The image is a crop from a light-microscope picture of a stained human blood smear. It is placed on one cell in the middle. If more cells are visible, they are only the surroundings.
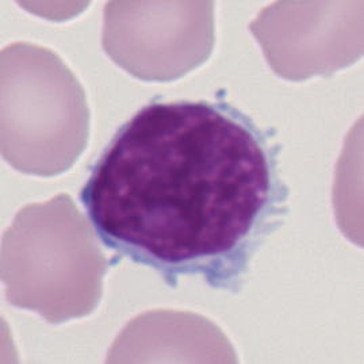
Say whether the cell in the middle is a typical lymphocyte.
no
